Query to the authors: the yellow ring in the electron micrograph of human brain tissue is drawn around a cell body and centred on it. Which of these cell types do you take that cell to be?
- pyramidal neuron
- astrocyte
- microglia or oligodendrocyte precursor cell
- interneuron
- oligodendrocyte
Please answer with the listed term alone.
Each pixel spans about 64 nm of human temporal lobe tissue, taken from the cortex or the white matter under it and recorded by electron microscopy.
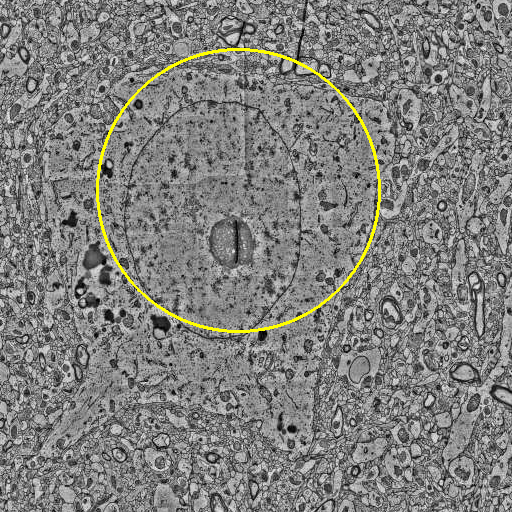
pyramidal neuron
